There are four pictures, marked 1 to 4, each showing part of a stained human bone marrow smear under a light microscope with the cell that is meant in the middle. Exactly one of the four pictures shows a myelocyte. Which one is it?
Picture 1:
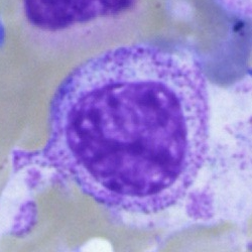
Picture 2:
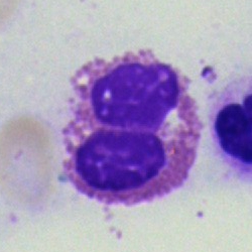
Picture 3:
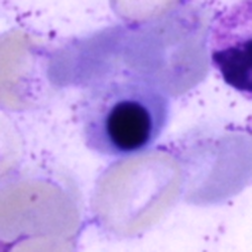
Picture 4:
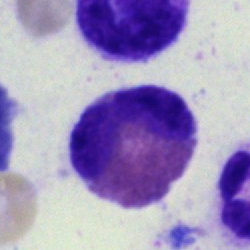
1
